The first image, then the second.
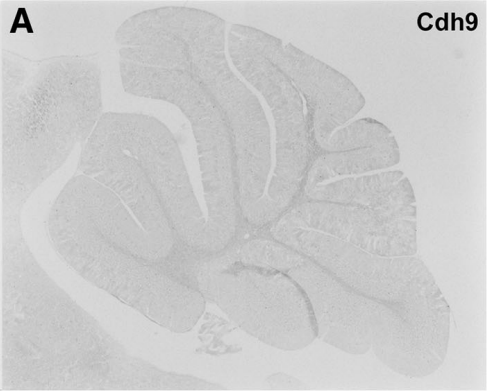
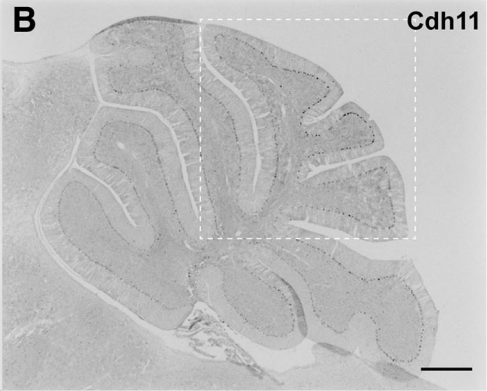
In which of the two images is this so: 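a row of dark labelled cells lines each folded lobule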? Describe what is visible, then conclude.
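Second image: a dotted line of dark cells follows the folds of every lobule. First image: the lobules are evenly pale with no dotted line of dark cells. That points to this answer: the second image.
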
